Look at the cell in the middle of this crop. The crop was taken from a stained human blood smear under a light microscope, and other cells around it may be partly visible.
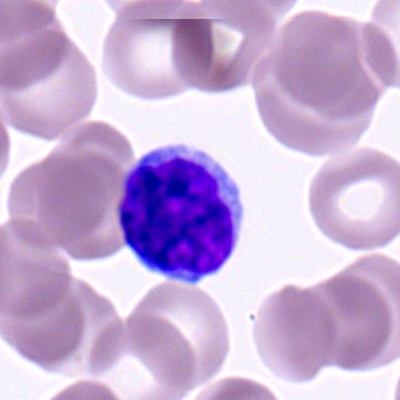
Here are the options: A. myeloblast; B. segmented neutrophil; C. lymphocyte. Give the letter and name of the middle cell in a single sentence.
The centered cell is a lymphocyte, which is why option C is right.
